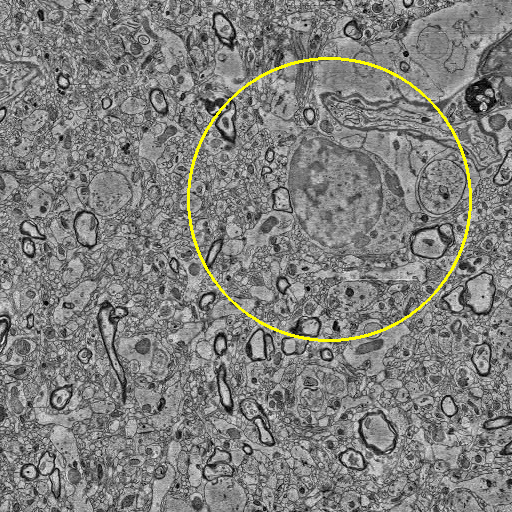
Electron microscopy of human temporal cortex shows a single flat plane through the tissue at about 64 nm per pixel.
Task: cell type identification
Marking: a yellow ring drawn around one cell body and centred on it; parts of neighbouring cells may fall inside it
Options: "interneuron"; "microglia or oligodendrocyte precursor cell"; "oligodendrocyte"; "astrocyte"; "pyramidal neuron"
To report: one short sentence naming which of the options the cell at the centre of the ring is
The cell at the centre of the ring is an oligodendrocyte.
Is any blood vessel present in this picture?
Yes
